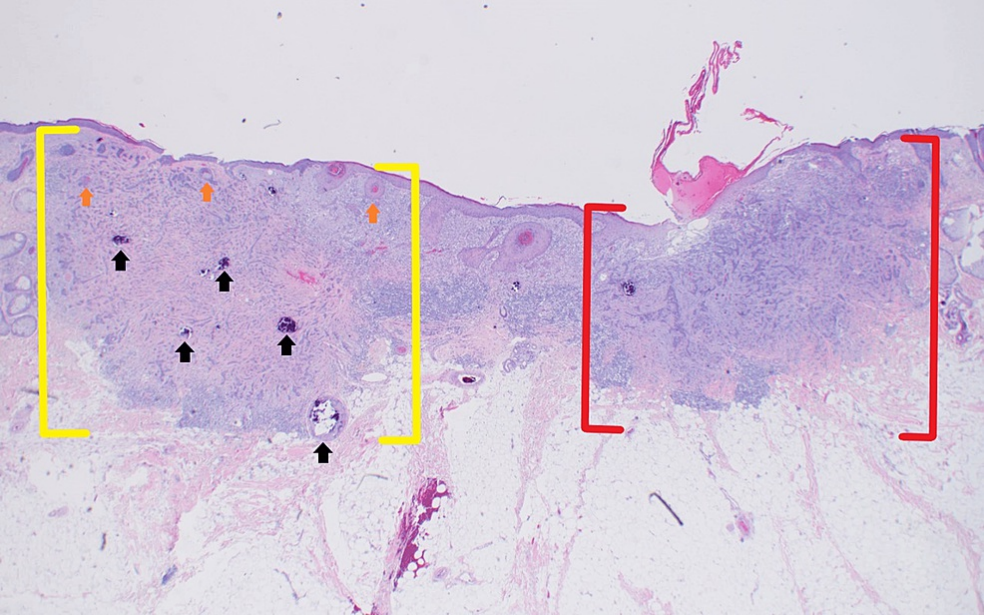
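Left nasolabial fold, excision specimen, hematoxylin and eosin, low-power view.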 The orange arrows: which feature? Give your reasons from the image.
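Small round cystic spaces in the upper dermis. On this evidence: small cystic areas of keratinization.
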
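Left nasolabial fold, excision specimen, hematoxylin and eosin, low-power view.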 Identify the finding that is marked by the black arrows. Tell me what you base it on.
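Focal calcifications. Small dark purple to black granular deposits scattered in the lesion. One deposit lies within a round cystic space.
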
